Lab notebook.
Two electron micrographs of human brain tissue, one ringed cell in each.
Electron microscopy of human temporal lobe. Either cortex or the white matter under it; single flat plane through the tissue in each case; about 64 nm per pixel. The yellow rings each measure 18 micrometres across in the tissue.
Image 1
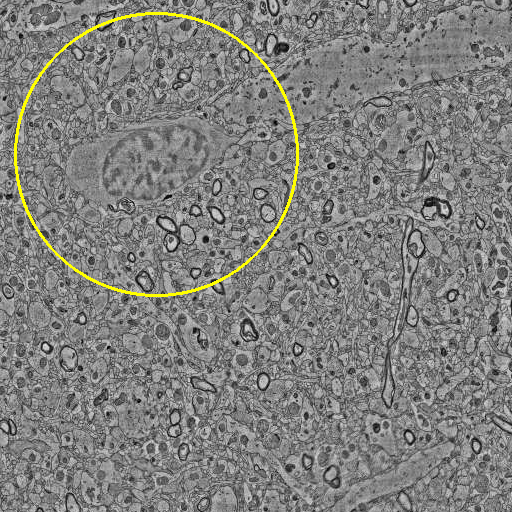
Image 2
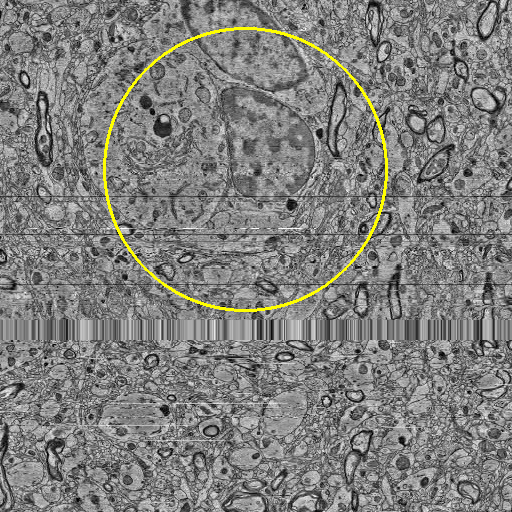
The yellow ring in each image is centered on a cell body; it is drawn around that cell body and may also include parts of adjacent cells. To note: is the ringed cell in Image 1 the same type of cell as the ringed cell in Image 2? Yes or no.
no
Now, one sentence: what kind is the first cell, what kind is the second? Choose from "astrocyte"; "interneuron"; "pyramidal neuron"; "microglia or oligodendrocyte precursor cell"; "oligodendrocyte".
The first picture has an oligodendrocyte at its ring centre, and the second has a microglial cell or oligodendrocyte precursor cell.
